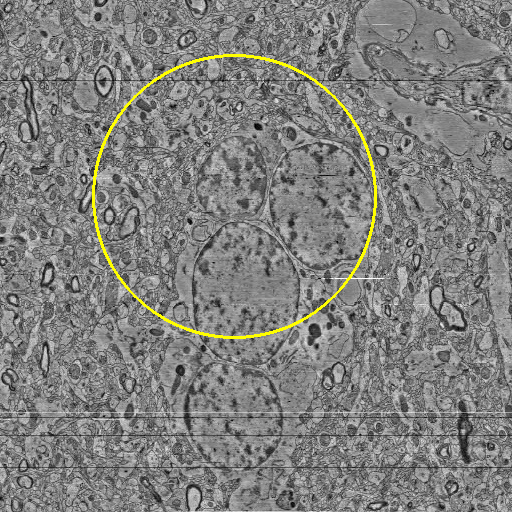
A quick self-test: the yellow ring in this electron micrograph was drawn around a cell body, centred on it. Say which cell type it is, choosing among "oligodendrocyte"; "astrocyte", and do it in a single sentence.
The yellow-ringed cell is an oligodendrocyte.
